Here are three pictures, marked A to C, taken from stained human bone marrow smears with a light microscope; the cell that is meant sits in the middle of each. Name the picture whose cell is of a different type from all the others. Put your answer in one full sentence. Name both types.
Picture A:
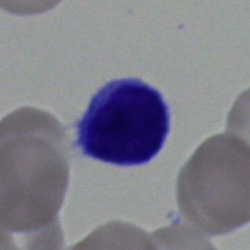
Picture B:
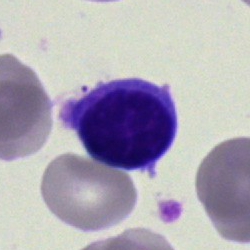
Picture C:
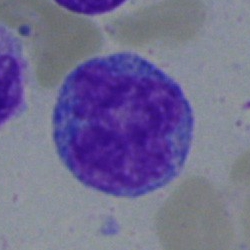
Picture C is the odd one out: it shows a monocyte, while the others show lymphocytes.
